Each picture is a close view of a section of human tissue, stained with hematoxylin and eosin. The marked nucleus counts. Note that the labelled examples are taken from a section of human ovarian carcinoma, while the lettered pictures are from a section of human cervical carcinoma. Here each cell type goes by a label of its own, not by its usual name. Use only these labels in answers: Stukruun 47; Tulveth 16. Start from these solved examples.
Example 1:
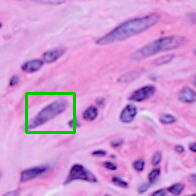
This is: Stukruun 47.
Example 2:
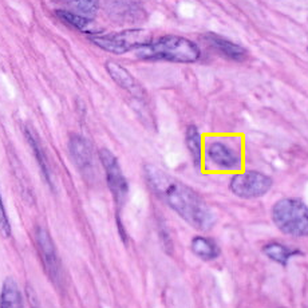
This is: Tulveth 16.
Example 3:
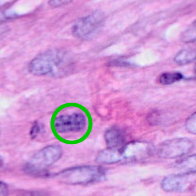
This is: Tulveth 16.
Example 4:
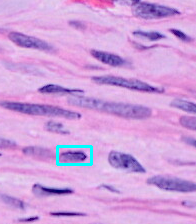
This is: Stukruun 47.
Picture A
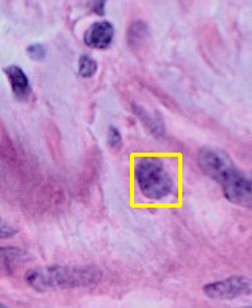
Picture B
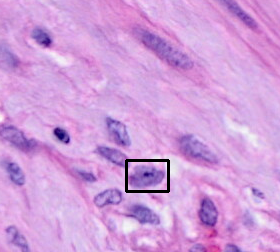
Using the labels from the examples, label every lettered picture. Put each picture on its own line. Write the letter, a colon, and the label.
A: Tulveth 16.
B: Tulveth 16.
